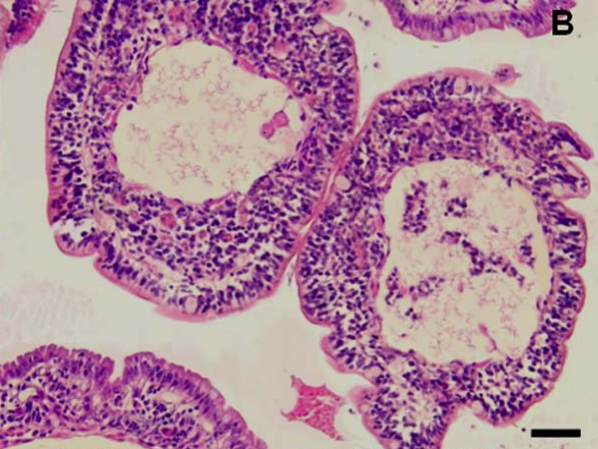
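These are cross-cut villi of the small intestine, each covered by a single layer of tall columnar epithelium with a thin pink border at the surface. Beneath the epithelium the core is packed with small round cells with dark nuclei, chronic inflammatory cells such as lymphocytes and plasma cells. The centre of each villus is taken up by a wide pale space holding faint pink lacy material and a few loose cells, a greatly dilated lacteal. Because of this the villi look broad and swollen.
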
